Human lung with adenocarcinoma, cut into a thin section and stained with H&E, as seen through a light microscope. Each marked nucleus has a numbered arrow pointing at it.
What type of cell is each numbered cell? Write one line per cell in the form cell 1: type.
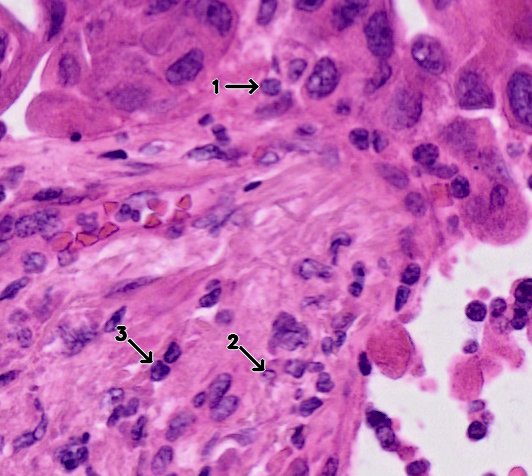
cell 1: lymphocyte
cell 2: plasma cell
cell 3: lymphocyte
